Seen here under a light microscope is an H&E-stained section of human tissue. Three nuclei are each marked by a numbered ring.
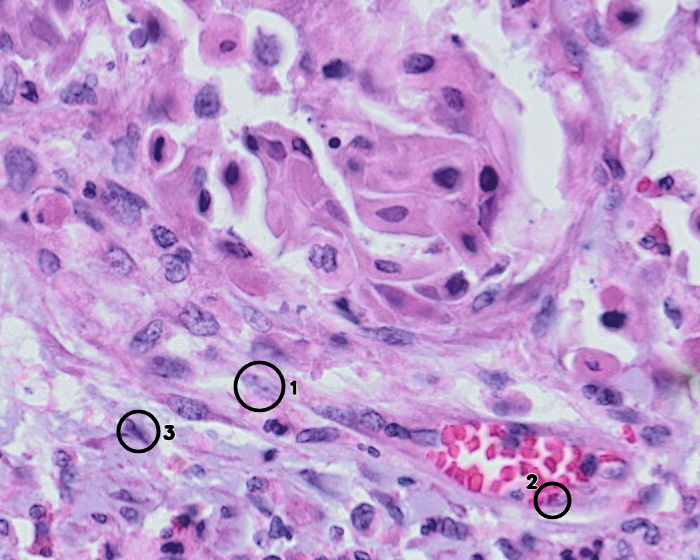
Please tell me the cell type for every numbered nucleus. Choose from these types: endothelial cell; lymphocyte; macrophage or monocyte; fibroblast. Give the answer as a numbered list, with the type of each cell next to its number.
1. fibroblast
2. endothelial cell
3. fibroblast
